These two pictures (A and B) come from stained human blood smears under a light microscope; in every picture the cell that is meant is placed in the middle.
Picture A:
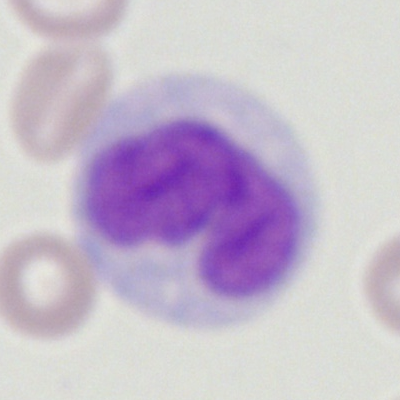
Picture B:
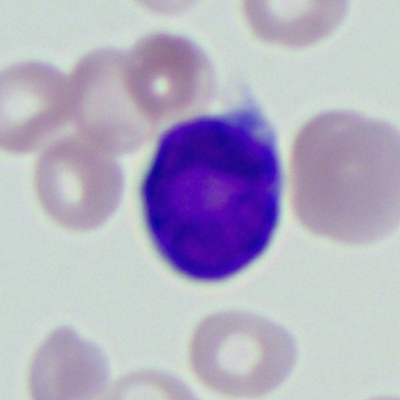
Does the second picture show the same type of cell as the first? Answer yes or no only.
no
